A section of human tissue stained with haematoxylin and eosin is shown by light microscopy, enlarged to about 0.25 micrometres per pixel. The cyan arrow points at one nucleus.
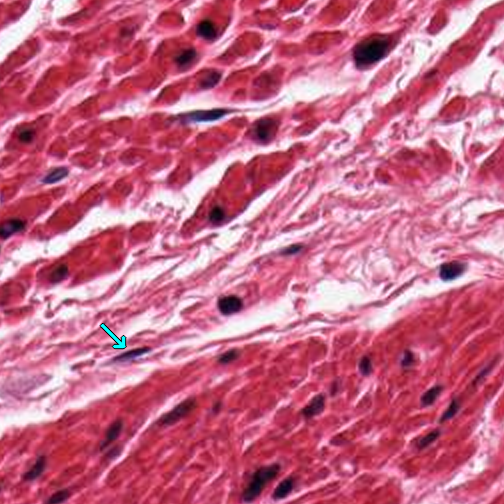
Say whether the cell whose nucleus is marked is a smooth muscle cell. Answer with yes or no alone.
no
